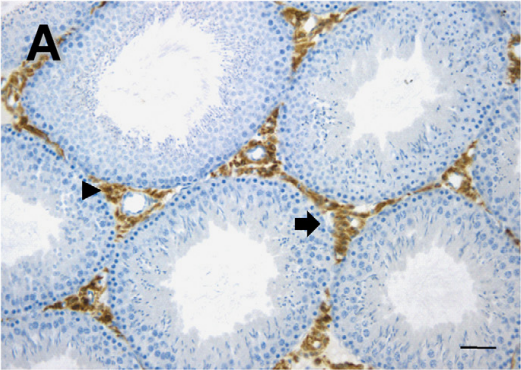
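Cross-sectioned seminiferous tubules of the testis with clusters of Leydig cells filling the interstitial triangles between them. The interstitial cells have strongly brown-stained cytoplasm and lie in groups around small blood vessels. The tubules show a stratified germinal epithelium with blue-stained nuclei, from cells along the basal wall to elongated spermatids facing the central lumen. No brown stain is seen inside the tubules.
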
